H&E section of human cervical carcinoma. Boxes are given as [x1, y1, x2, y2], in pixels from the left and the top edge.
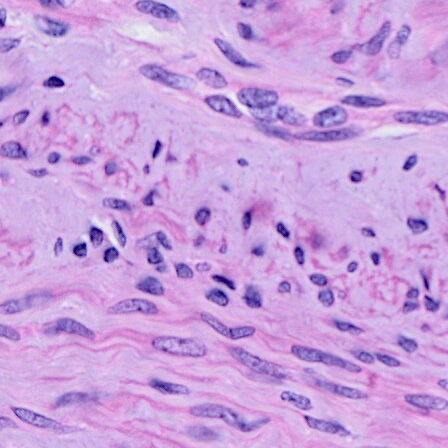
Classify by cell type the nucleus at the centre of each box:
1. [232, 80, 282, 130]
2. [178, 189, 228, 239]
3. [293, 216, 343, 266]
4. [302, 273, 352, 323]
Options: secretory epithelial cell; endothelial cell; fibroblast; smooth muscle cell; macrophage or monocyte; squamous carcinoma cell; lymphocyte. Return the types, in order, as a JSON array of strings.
["endothelial cell", "smooth muscle cell", "smooth muscle cell", "smooth muscle cell"]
